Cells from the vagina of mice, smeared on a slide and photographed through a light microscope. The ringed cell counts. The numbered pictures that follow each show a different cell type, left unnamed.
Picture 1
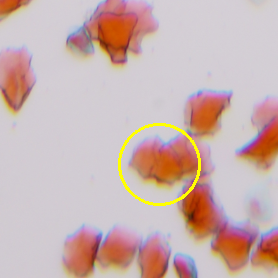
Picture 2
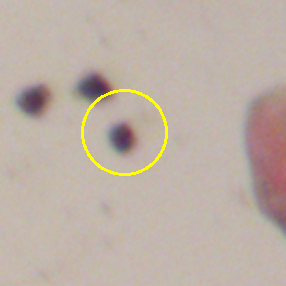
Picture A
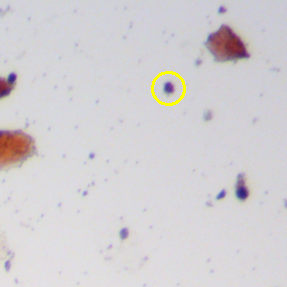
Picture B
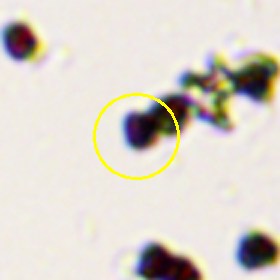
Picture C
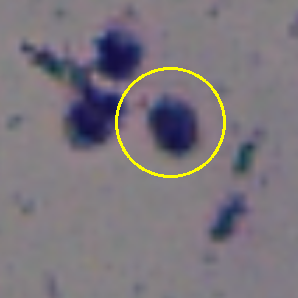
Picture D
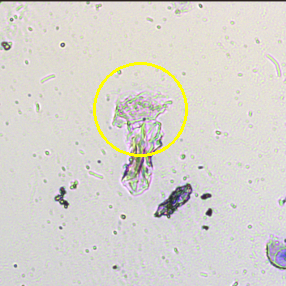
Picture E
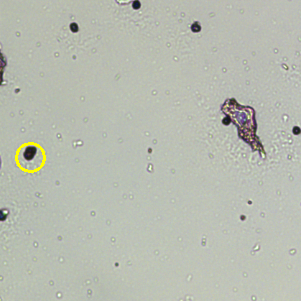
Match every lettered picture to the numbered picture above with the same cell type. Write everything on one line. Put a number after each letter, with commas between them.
A 2, B 2, C 2, D 1, E 2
